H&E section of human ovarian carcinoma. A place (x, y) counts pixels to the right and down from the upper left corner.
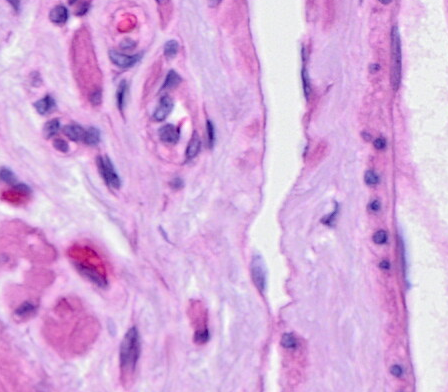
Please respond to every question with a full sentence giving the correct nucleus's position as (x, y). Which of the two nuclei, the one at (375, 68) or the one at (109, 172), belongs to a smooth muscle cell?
Of the two nuclei, the nucleus belonging to a smooth muscle cell is located at (375, 68).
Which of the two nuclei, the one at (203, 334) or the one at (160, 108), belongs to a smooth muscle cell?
Among the two nuclei, the one found at (203, 334) belongs to a smooth muscle cell.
